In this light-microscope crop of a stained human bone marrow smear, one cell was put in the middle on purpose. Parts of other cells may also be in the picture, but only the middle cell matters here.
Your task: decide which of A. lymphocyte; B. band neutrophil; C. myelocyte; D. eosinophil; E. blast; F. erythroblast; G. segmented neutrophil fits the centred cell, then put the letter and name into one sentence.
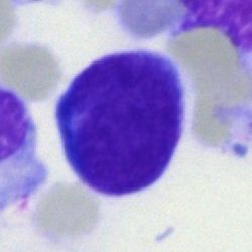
The cell occupying the centre is a blast; option E is thus the correct choice.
